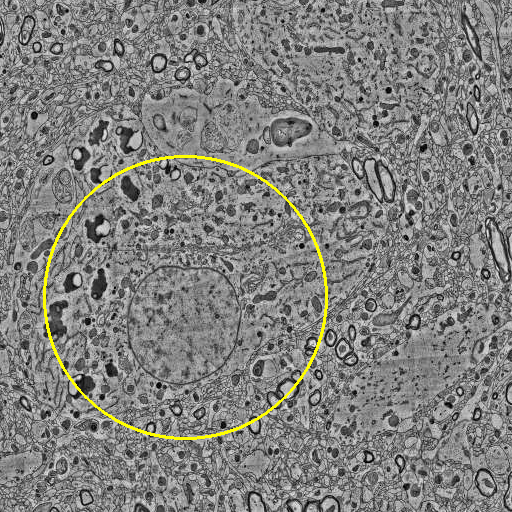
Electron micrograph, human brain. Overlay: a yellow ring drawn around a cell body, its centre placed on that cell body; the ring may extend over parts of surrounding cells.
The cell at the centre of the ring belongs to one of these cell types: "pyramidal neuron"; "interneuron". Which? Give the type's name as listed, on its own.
pyramidal neuron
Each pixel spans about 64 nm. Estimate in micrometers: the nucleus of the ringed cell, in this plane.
In this plane, approximately 8 micrometres across.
